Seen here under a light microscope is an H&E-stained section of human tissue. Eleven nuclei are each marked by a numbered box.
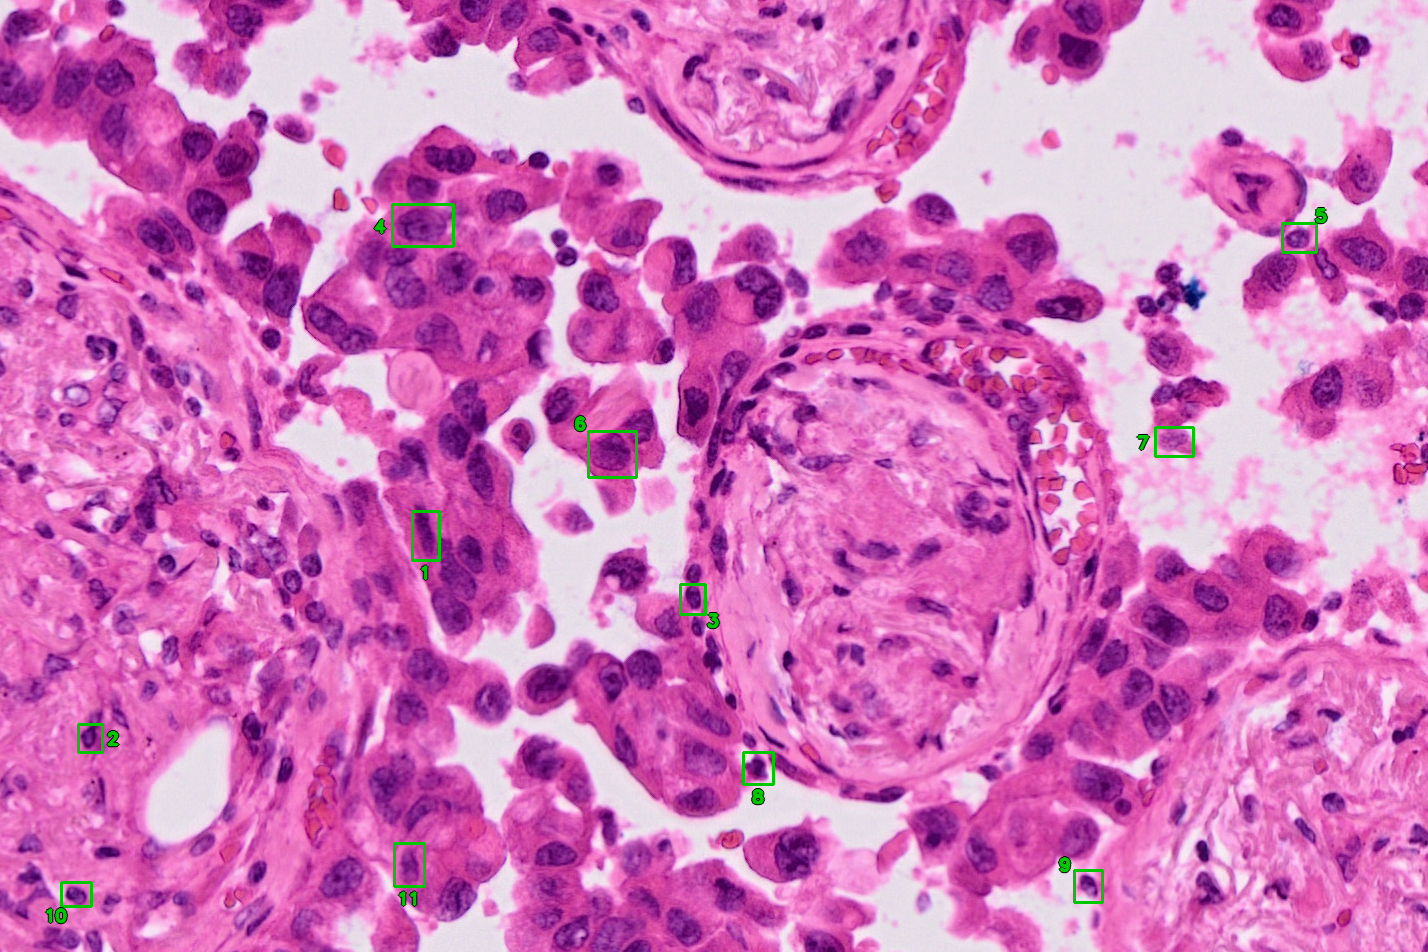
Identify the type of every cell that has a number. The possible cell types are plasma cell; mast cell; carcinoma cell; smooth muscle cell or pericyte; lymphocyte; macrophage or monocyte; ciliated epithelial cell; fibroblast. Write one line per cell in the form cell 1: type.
cell 1: carcinoma cell
cell 2: plasma cell
cell 3: lymphocyte
cell 4: carcinoma cell
cell 5: lymphocyte
cell 6: carcinoma cell
cell 7: macrophage or monocyte
cell 8: lymphocyte
cell 9: lymphocyte
cell 10: lymphocyte
cell 11: carcinoma cell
